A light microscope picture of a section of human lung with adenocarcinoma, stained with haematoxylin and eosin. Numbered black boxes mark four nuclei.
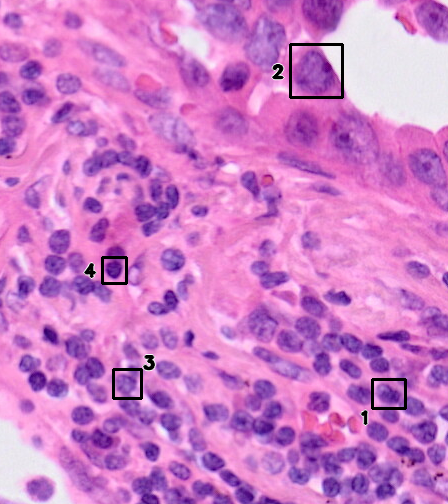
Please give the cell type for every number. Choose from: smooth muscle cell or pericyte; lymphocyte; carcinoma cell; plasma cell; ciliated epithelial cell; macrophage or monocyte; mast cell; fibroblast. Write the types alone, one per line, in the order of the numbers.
lymphocyte
carcinoma cell
lymphocyte
lymphocyte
